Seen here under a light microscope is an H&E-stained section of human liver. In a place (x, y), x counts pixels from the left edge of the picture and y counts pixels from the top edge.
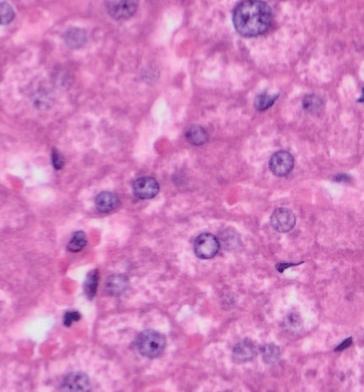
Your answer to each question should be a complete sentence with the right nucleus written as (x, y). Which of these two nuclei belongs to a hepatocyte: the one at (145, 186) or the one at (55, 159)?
The nucleus that sits at (145, 186) is the nucleus of a hepatocyte.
